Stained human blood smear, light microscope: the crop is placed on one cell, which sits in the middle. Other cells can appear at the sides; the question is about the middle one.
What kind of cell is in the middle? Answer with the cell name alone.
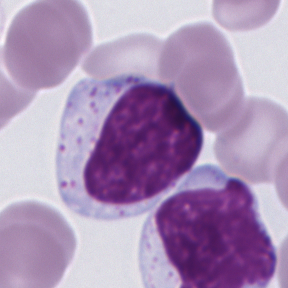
large granular lymphocyte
